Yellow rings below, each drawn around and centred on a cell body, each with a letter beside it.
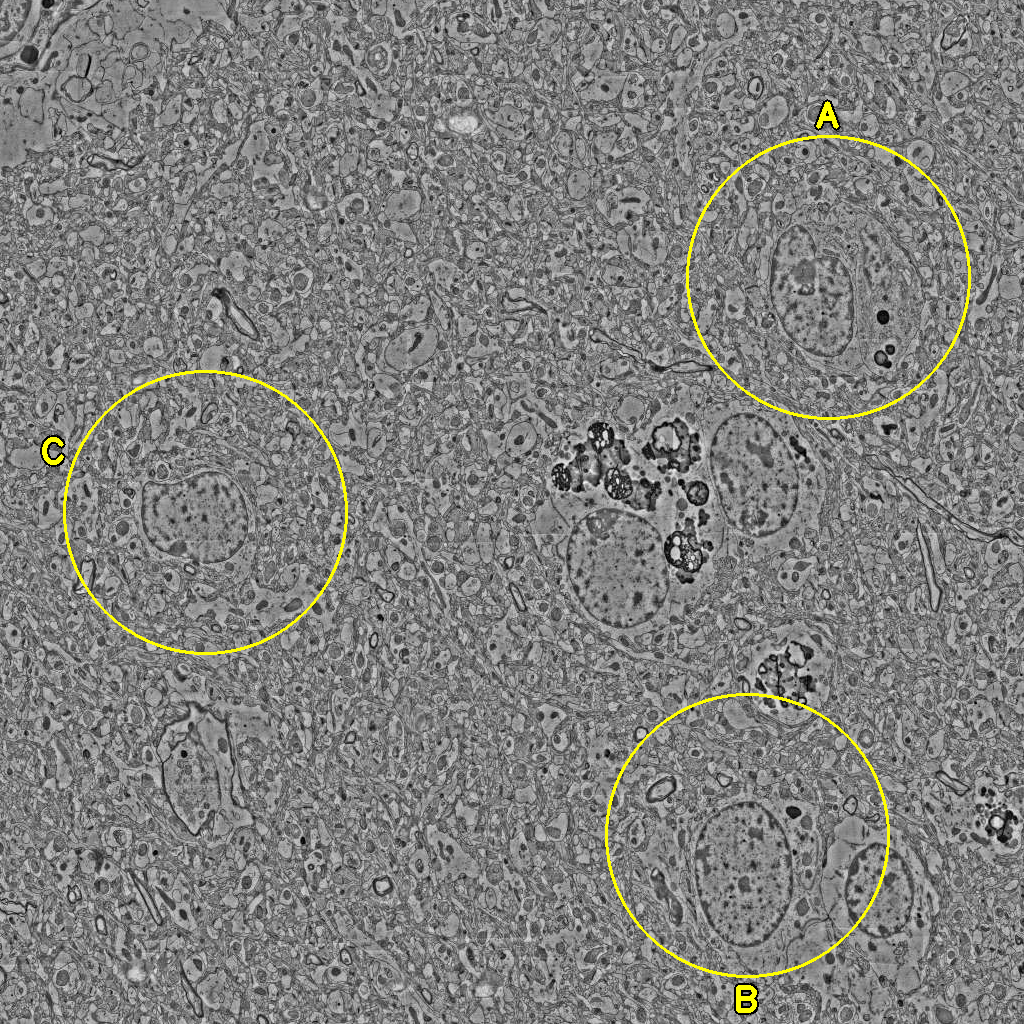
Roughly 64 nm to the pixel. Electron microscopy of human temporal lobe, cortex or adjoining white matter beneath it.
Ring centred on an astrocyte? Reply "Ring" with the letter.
Ring B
